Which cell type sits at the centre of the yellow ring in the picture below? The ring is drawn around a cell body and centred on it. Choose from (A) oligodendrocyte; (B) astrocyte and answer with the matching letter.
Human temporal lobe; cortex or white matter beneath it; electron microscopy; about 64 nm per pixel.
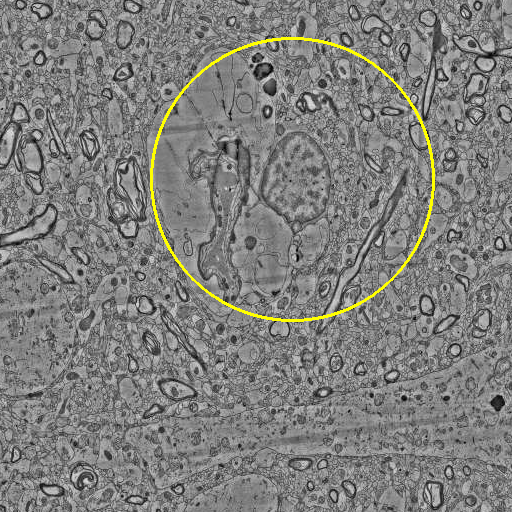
A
